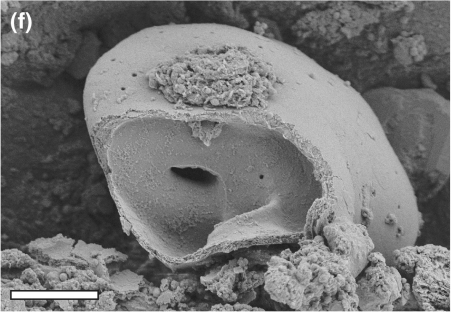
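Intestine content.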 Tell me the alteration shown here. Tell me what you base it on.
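Cracked Foraminifera tests. A dome-shaped shell broken open, revealing a hollow interior. The shell wall is thin, with a few small pores. A slit-like opening lies inside the exposed chamber.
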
